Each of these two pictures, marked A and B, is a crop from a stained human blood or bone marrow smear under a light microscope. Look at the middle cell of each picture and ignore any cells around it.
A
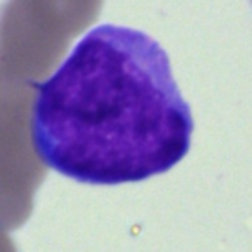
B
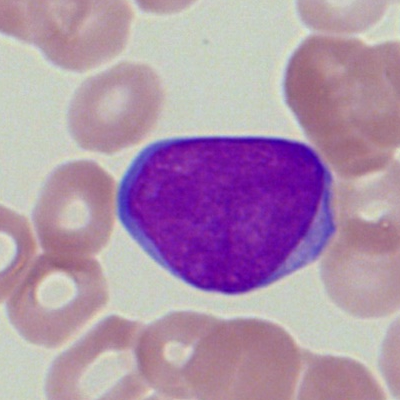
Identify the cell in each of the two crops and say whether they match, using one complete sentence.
Yes, the cells that the two crops centre on are blasts.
